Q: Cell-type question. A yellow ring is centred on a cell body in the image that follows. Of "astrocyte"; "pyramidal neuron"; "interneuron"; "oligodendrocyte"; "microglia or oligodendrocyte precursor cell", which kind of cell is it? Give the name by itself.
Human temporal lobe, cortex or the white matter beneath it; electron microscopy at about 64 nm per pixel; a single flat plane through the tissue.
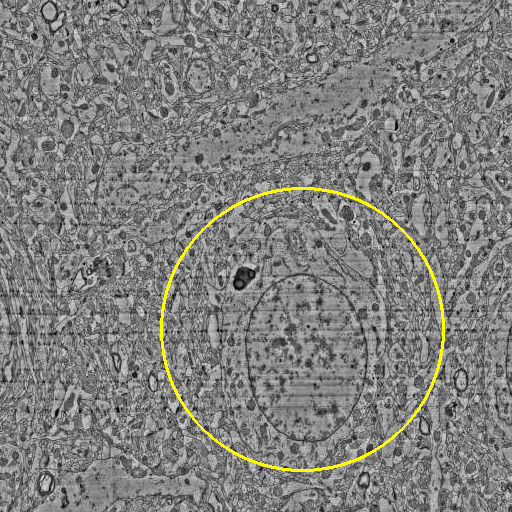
pyramidal neuron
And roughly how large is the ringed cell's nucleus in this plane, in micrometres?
The nucleus appears roughly 11 by 8 micrometres in this plane.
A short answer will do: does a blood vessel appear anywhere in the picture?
No, a blood vessel is absent from this picture.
